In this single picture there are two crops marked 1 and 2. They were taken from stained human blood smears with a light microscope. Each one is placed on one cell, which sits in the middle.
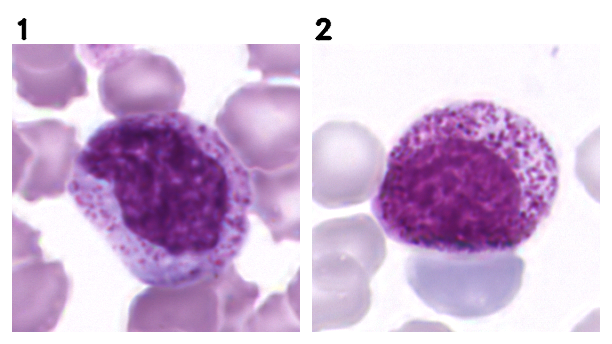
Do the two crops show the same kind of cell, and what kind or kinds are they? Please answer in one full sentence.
Yes, both crops do show myelocytes in the middle.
